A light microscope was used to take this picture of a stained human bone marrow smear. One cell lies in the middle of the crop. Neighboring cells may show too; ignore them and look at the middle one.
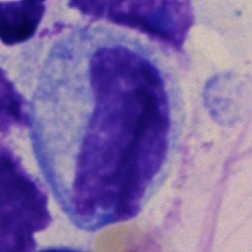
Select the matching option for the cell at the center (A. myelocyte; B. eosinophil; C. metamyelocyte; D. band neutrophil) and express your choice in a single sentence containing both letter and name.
Option C is the correct option, with the middle cell being a metamyelocyte.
